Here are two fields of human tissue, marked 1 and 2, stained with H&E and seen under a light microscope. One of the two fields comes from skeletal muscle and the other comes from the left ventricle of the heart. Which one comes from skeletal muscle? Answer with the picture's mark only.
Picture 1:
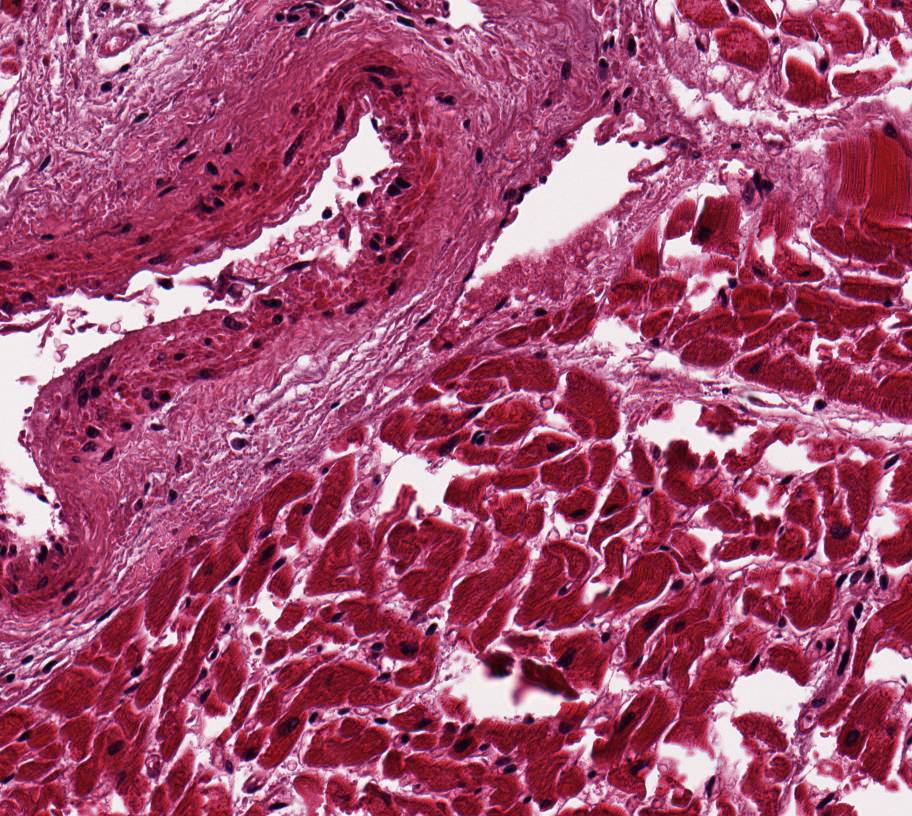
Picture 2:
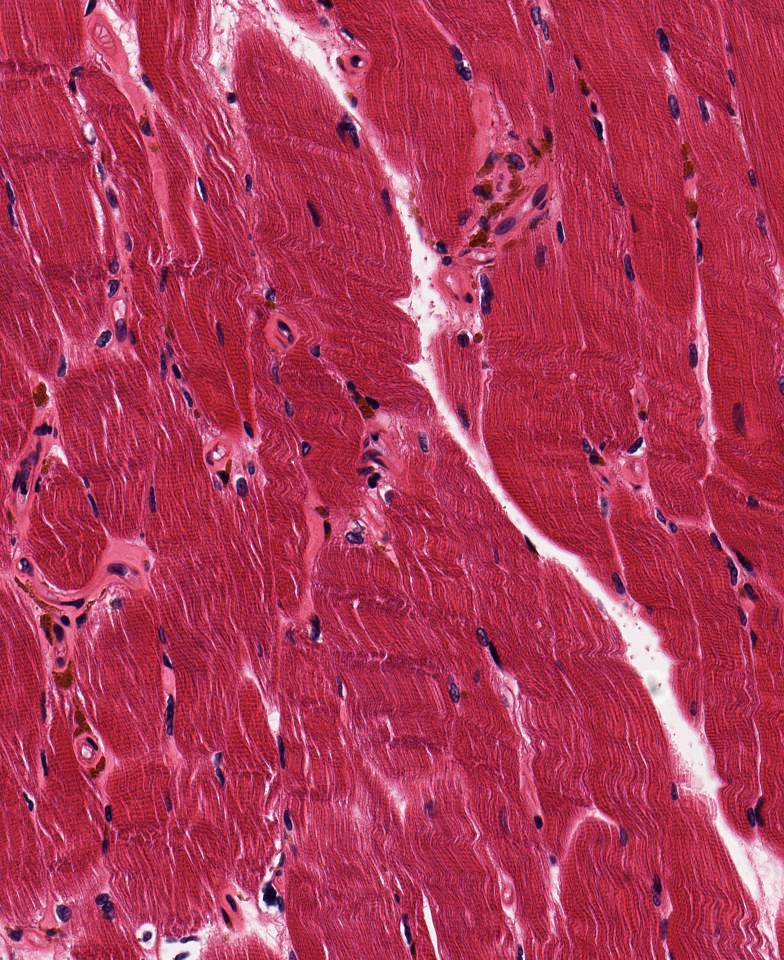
2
